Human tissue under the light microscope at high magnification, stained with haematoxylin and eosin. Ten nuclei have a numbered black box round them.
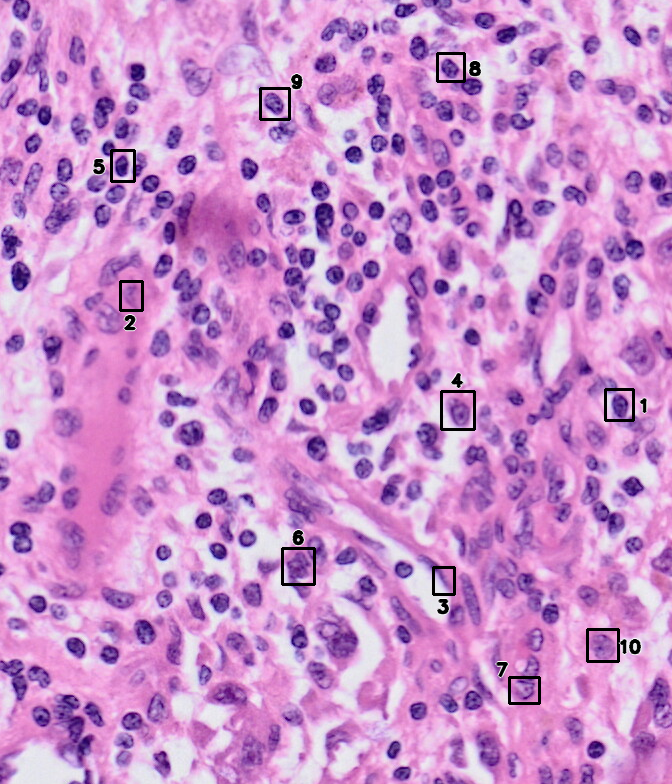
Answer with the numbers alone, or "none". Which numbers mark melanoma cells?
6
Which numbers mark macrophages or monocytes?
4, 10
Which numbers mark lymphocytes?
1, 5, 8, 9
